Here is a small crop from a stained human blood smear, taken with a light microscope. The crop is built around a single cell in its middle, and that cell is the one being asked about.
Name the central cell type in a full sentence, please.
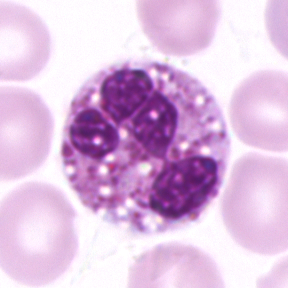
Looking at the middle of the crop, the cell there is an eosinophil.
